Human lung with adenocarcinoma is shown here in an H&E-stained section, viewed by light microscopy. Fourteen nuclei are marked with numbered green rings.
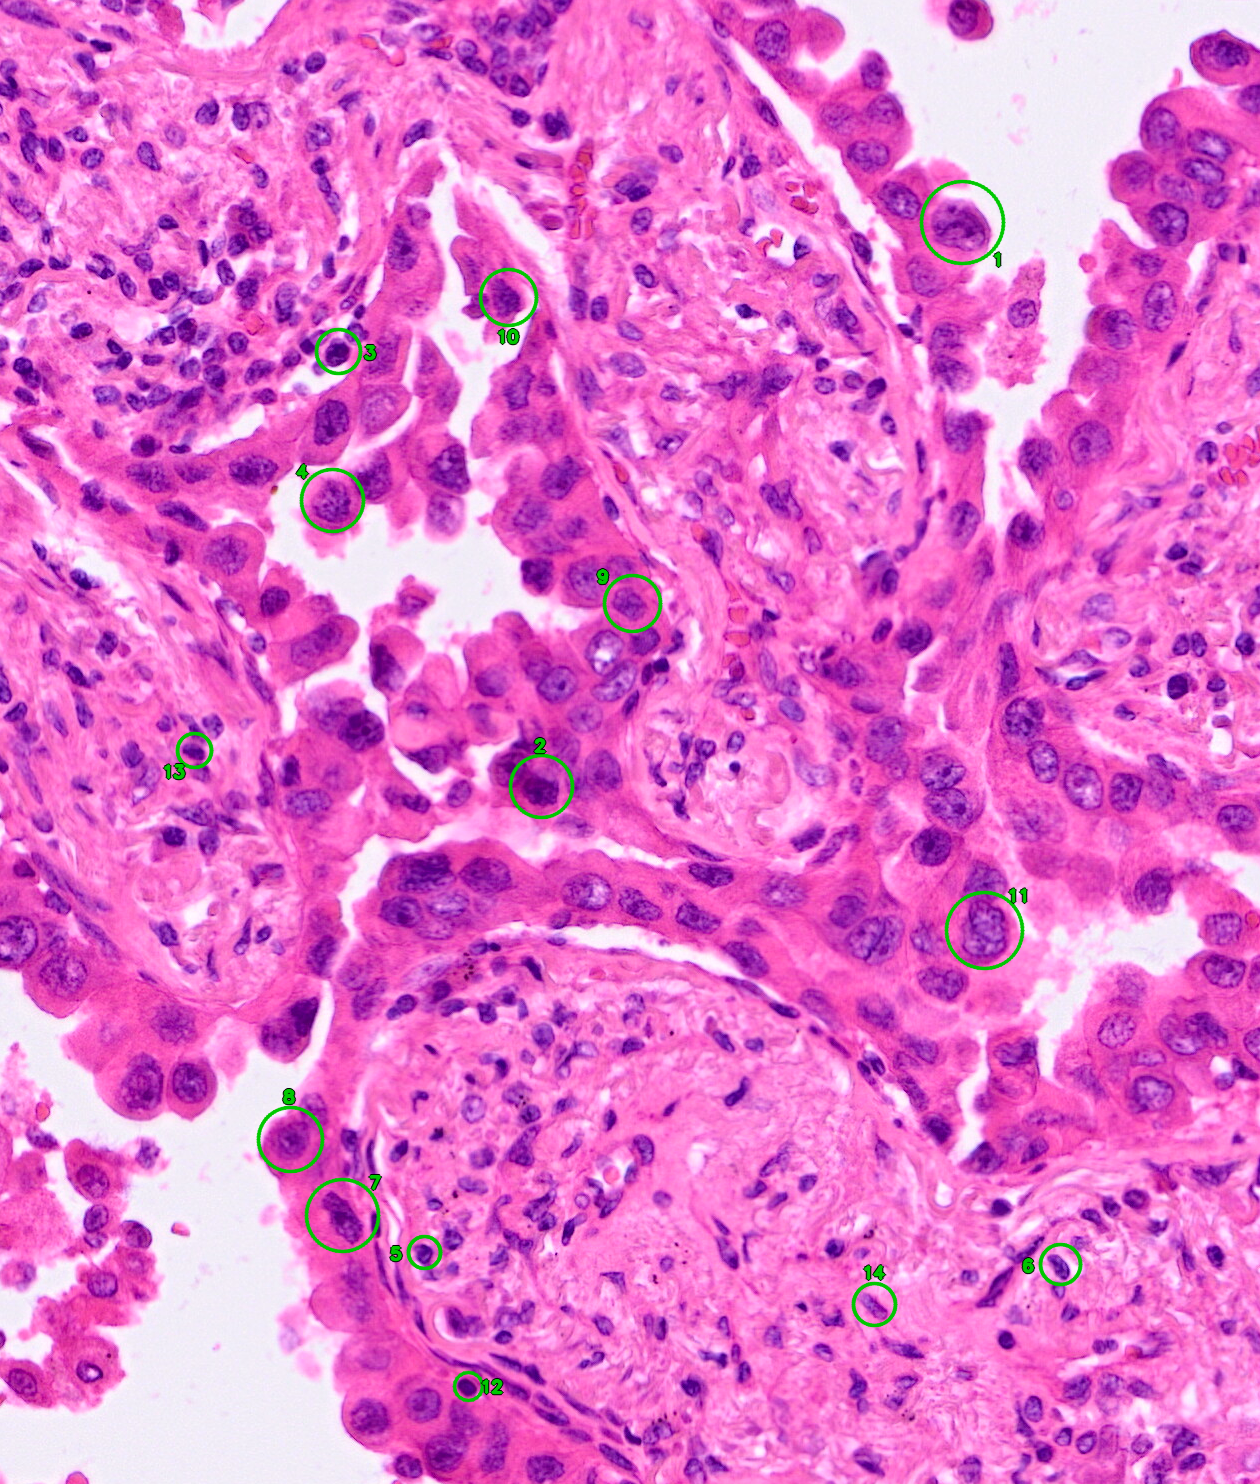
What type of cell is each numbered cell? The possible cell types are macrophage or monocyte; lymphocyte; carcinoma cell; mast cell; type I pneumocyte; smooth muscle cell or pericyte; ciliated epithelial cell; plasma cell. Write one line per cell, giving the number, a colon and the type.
1: carcinoma cell
2: carcinoma cell
3: lymphocyte
4: carcinoma cell
5: lymphocyte
6: lymphocyte
7: carcinoma cell
8: carcinoma cell
9: carcinoma cell
10: carcinoma cell
11: carcinoma cell
12: lymphocyte
13: lymphocyte
14: smooth muscle cell or pericyte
